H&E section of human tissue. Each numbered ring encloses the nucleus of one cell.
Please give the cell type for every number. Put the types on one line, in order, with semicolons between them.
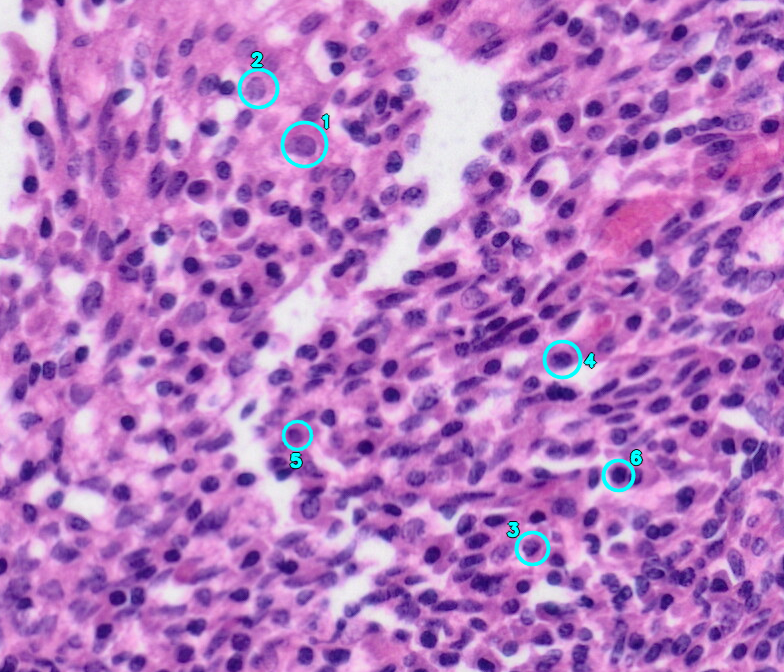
squamous epithelial cell; squamous epithelial cell; plasma cell; plasma cell; plasma cell; plasma cell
